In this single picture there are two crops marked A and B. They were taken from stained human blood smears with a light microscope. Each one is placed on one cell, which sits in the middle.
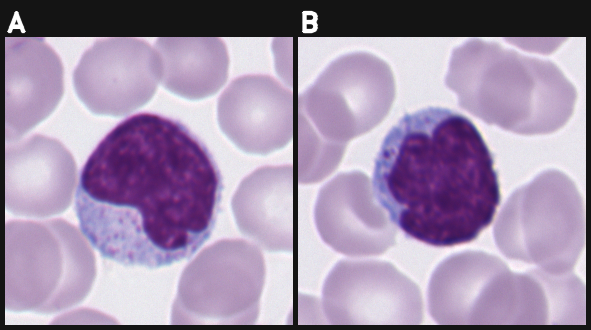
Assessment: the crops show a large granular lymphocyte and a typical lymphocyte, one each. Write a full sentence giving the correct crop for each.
Crop A presents a large granular lymphocyte, and crop B presents a typical lymphocyte.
